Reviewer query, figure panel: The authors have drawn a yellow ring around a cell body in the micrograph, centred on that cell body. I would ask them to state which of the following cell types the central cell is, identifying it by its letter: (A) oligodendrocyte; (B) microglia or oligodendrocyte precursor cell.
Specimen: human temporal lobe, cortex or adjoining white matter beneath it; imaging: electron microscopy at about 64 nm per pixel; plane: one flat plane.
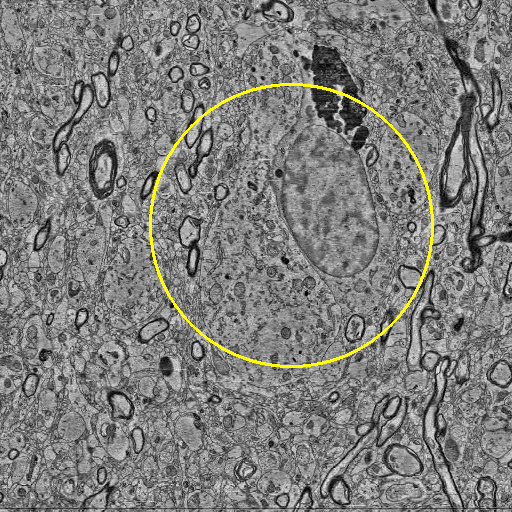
A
